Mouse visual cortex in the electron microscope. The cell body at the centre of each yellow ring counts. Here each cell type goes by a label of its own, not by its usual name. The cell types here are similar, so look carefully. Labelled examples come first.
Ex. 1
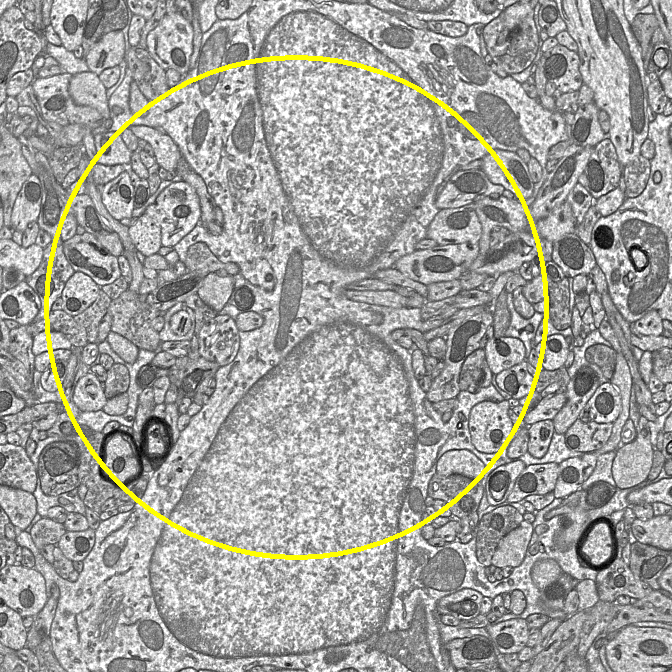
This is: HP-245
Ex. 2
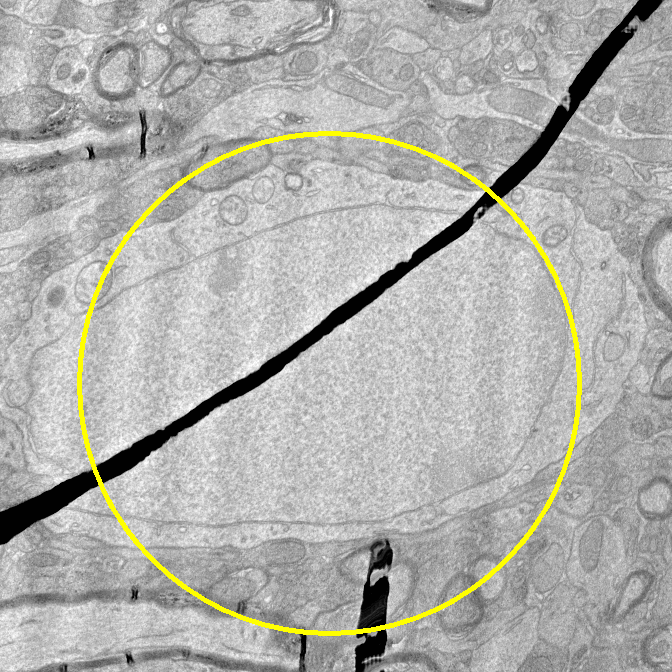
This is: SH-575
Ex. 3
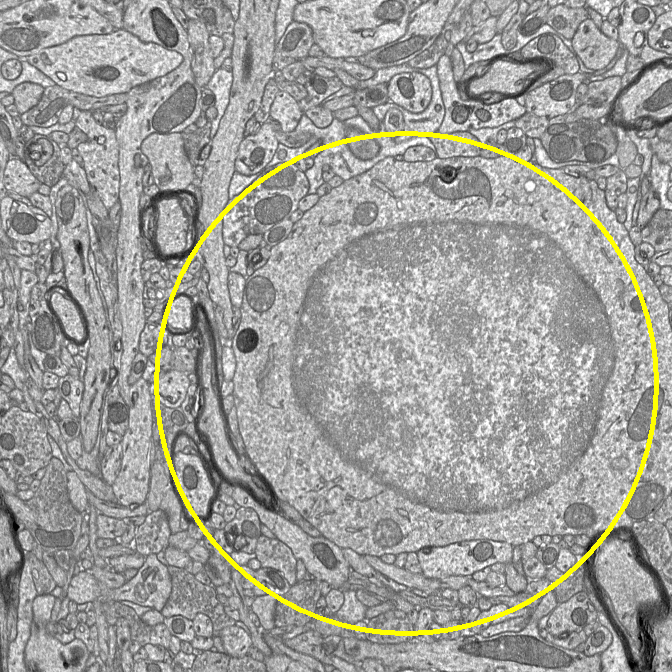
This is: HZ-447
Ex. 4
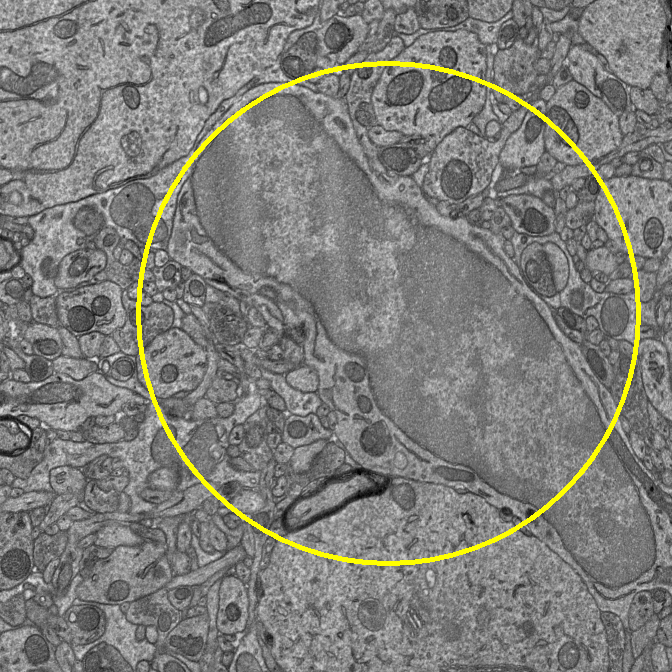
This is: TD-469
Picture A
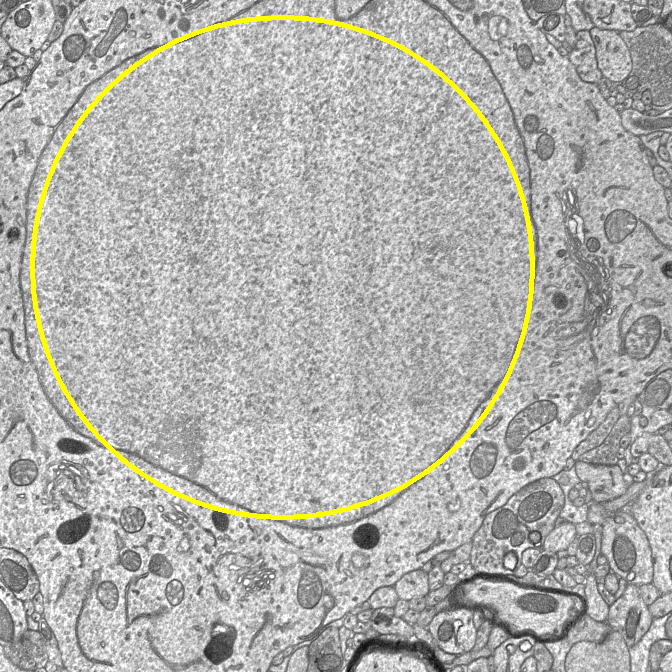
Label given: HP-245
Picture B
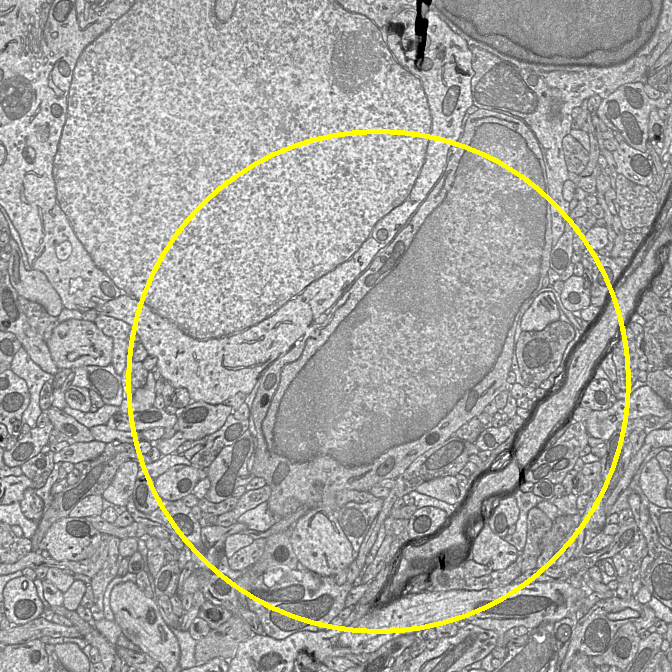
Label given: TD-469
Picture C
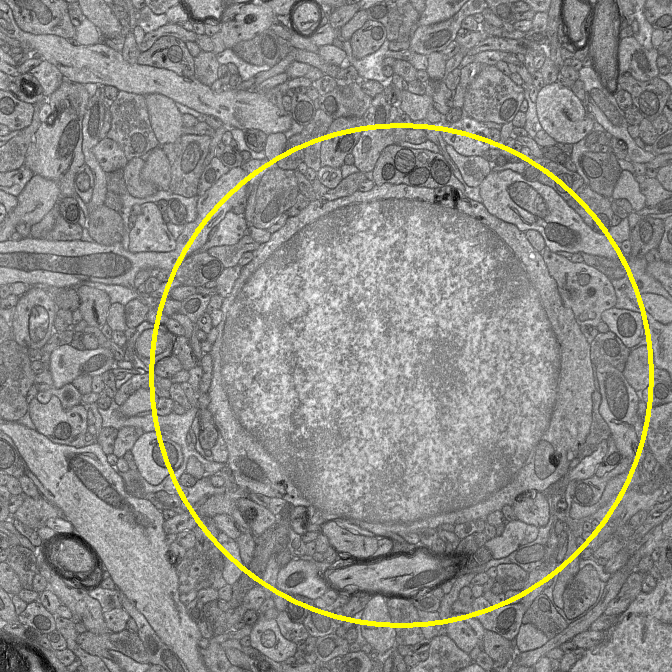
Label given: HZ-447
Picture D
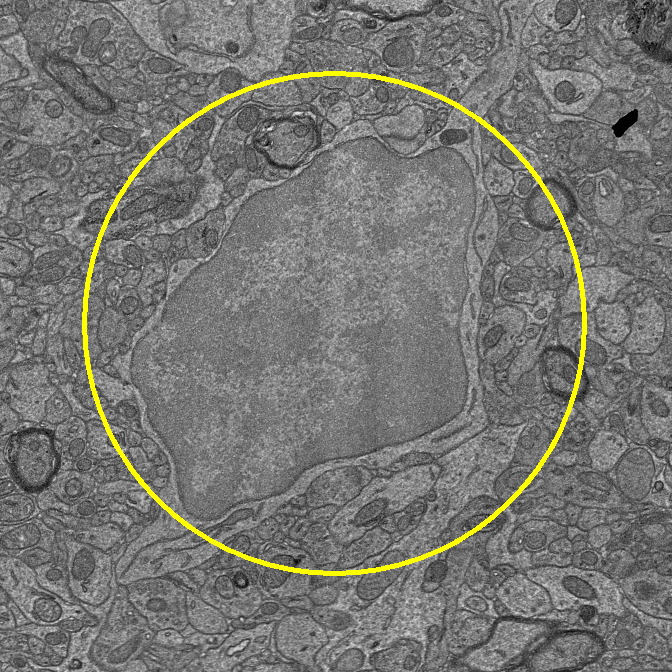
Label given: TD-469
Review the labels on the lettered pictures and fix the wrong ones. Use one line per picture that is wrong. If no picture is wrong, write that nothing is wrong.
A: SH-575, not HP-245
